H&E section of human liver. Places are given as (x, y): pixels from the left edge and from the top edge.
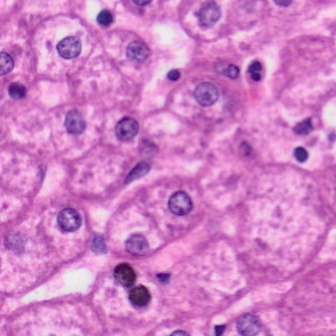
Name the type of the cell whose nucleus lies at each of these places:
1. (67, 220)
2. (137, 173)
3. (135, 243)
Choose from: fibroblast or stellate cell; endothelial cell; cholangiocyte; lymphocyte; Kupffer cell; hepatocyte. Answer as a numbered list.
1. hepatocyte
2. Kupffer cell
3. hepatocyte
